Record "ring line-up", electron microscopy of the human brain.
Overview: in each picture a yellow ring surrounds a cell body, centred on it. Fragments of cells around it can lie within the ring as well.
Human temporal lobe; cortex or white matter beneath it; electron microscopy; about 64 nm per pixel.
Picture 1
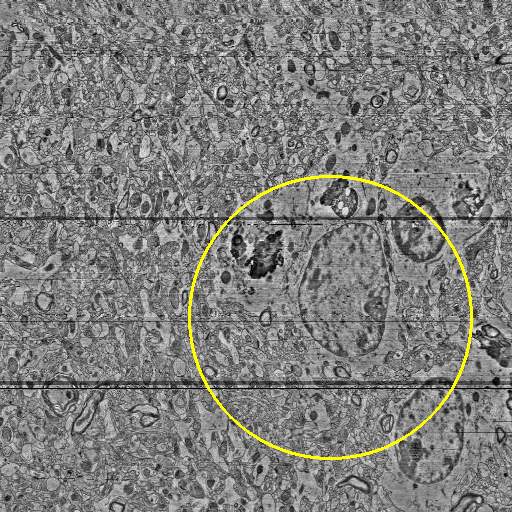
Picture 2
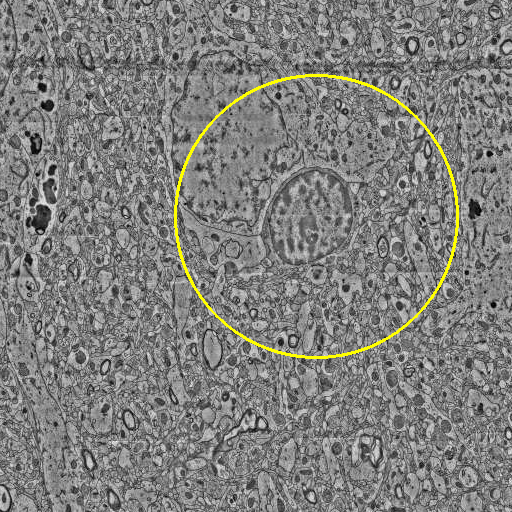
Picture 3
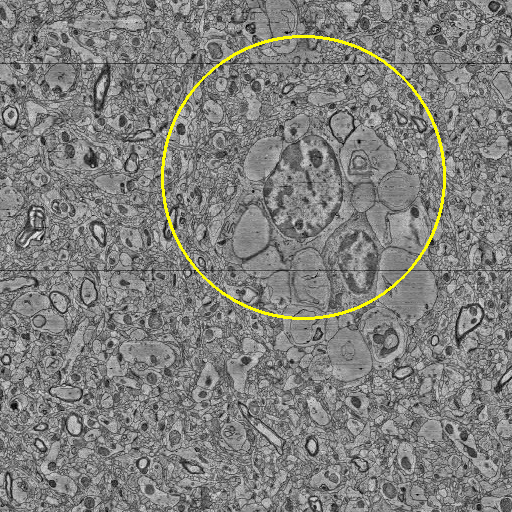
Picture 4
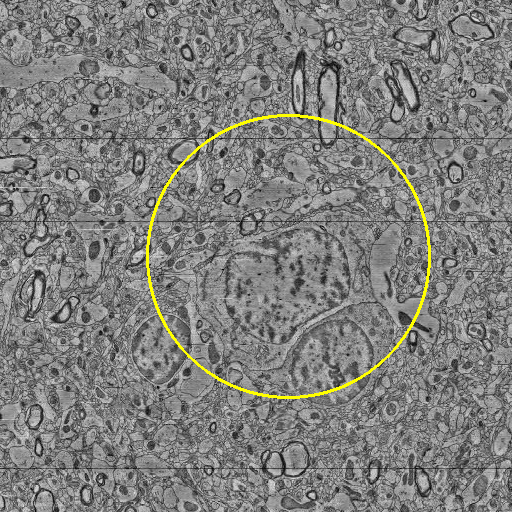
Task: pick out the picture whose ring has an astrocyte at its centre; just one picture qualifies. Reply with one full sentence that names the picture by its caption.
Going by the cell at the ring's centre, the right choice is Picture 1.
